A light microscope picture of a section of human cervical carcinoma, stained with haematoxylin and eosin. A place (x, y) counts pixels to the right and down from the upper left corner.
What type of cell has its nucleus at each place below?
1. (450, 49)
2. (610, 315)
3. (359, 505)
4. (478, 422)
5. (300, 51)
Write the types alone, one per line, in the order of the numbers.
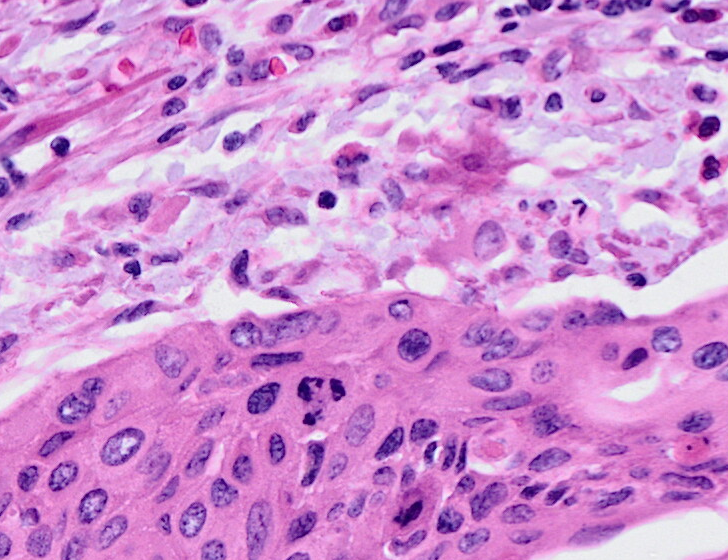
lymphocyte
squamous carcinoma cell
squamous carcinoma cell
squamous carcinoma cell
endothelial cell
